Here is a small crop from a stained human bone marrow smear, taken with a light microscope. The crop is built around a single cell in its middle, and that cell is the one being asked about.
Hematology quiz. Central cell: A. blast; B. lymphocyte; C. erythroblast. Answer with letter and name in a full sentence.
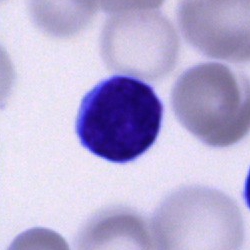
Option B correctly names the cell in the middle as a lymphocyte.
